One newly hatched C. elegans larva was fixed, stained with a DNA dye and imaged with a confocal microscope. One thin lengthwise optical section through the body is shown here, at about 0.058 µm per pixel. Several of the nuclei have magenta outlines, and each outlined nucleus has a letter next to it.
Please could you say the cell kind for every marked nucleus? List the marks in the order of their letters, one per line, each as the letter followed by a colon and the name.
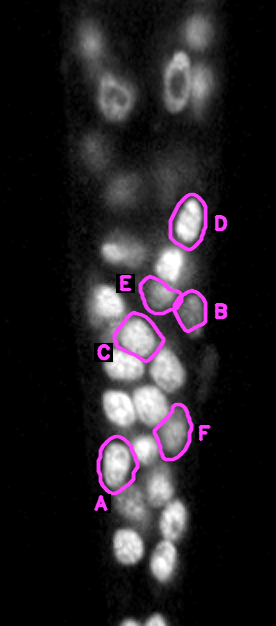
A: body wall muscle cell
B: rectal epithelial cell
C: rectal epithelial cell
D: neuron
E: rectal epithelial cell
F: body wall muscle cell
